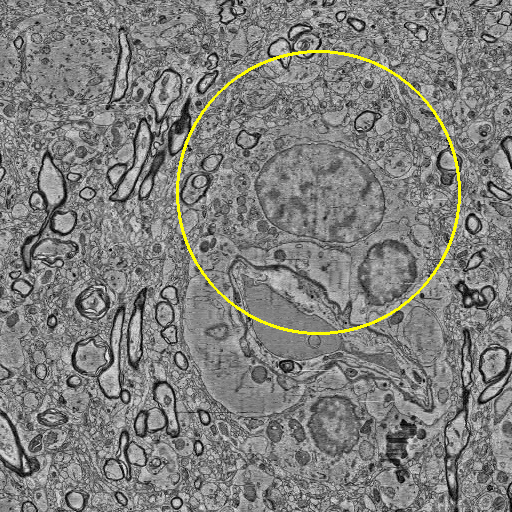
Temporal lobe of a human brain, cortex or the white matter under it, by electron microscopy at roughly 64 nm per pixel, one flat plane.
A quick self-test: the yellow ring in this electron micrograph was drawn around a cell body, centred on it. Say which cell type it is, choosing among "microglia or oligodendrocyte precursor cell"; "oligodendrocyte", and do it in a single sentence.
The yellow-ringed cell is an oligodendrocyte.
